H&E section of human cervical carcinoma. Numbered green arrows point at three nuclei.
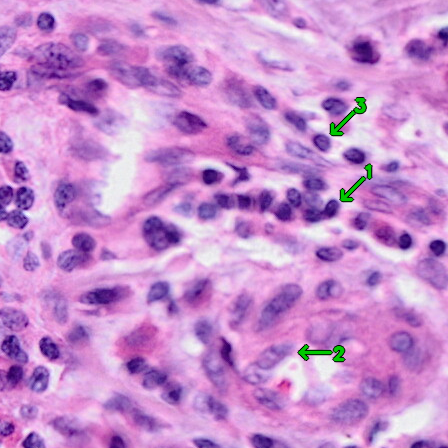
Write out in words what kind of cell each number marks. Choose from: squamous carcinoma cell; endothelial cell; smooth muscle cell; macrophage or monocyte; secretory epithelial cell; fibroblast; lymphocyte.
Cell 1 is a lymphocyte, cell 2 is an endothelial cell and cell 3 is a lymphocyte.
